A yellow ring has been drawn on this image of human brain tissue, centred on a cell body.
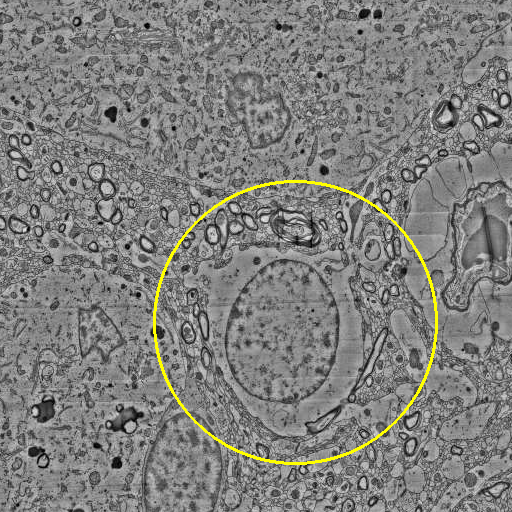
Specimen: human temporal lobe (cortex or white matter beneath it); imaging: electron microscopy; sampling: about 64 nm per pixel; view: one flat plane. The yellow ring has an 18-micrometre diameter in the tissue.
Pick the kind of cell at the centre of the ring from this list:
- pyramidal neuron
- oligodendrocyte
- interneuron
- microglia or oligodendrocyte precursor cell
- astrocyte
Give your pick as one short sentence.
The centre of the ring holds an astrocyte.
